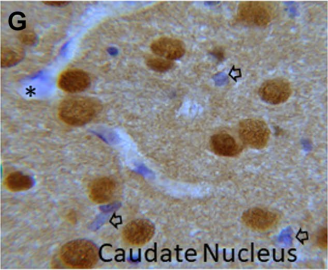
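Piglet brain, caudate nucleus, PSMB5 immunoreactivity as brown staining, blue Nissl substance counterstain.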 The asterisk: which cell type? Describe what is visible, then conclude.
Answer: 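The asterisk lies at an elongated blue nucleus on a narrow vessel. The vessel runs as a thin channel through the tissue. The nucleus is blue, not brown. On this evidence: capillary endothelial cells.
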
